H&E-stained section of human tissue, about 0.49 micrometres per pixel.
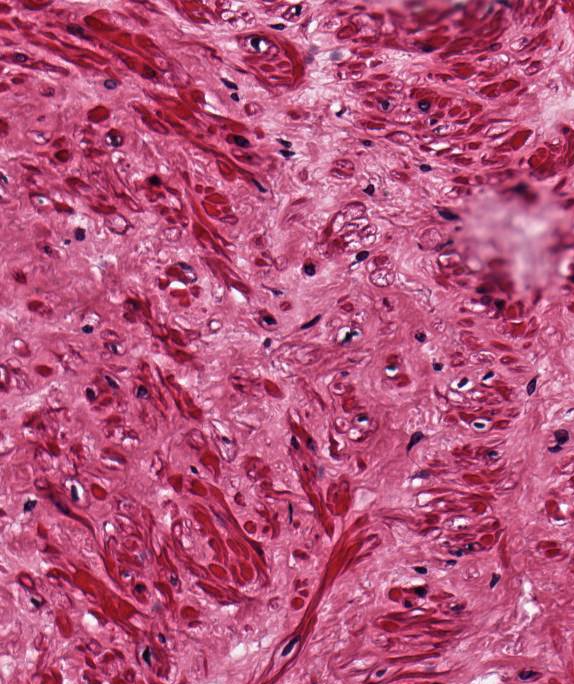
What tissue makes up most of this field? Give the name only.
fibromuscular stroma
